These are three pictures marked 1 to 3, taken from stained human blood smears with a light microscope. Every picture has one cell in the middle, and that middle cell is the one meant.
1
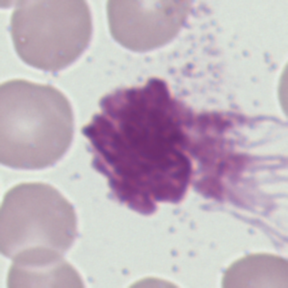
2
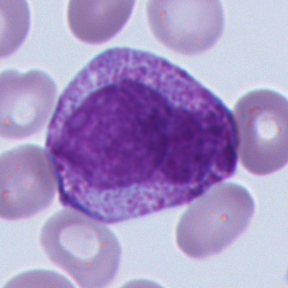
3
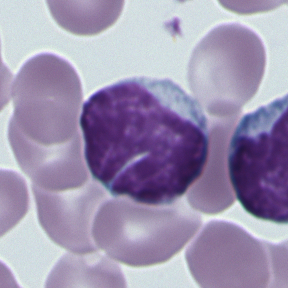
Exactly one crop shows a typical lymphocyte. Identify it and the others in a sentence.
Crop 3 presents a typical lymphocyte, while crop 1 is a smudge cell and crop 2 is an atypical promyelocyte.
